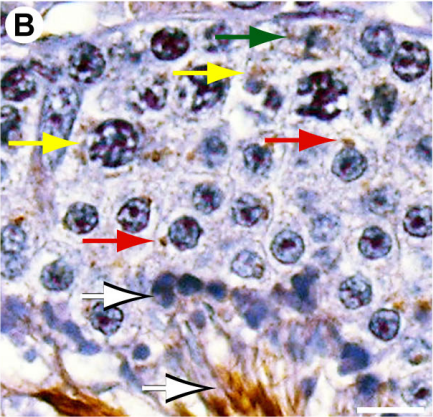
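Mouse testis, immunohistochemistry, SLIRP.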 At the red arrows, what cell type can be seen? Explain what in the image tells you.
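The marked cells have smaller round nuclei with a dark central spot. They lie in layers nearer the lumen. A small brown dot sits beside the nucleus. On this evidence: round spermatids.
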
